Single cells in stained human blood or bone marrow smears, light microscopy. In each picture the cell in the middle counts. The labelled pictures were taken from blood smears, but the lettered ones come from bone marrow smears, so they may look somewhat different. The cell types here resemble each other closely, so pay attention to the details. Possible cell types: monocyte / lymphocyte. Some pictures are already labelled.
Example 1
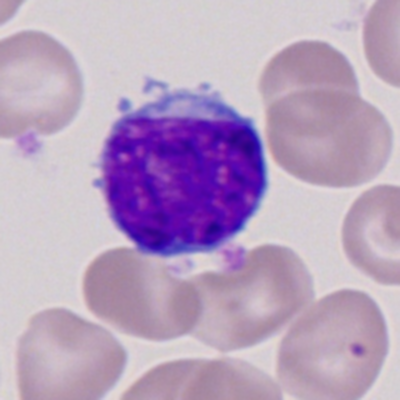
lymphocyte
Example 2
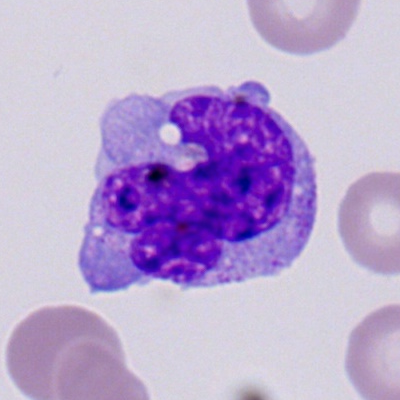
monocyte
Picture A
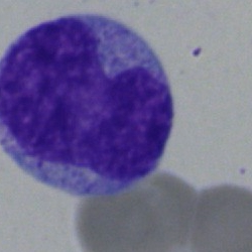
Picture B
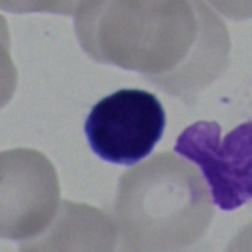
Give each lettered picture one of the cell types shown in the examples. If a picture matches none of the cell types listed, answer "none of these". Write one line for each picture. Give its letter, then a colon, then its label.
A: monocyte
B: lymphocyte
